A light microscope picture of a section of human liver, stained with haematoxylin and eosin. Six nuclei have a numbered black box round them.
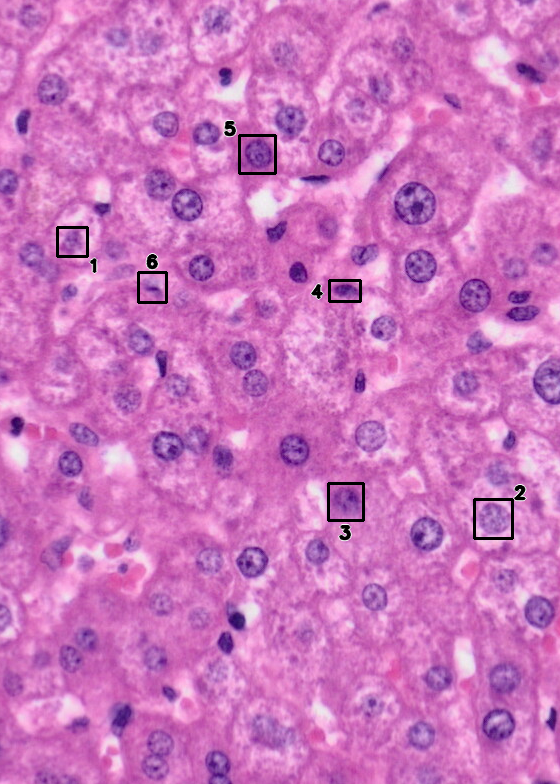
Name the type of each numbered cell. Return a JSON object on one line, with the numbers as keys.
{"1": "hepatocyte", "2": "hepatocyte", "3": "hepatocyte", "4": "fibroblast or stellate cell", "5": "hepatocyte", "6": "endothelial cell"}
